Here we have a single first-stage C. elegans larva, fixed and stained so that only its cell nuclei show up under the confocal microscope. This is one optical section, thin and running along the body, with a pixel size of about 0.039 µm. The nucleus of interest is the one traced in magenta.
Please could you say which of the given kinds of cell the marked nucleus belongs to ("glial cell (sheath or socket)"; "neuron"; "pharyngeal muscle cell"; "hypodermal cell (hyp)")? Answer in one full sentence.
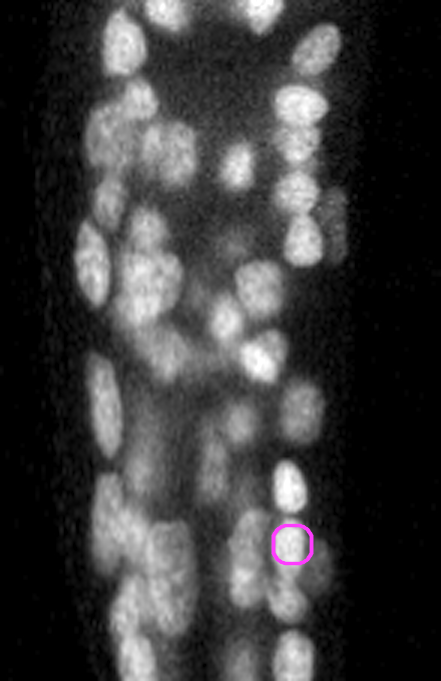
It belongs to a glial cell (sheath or socket).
